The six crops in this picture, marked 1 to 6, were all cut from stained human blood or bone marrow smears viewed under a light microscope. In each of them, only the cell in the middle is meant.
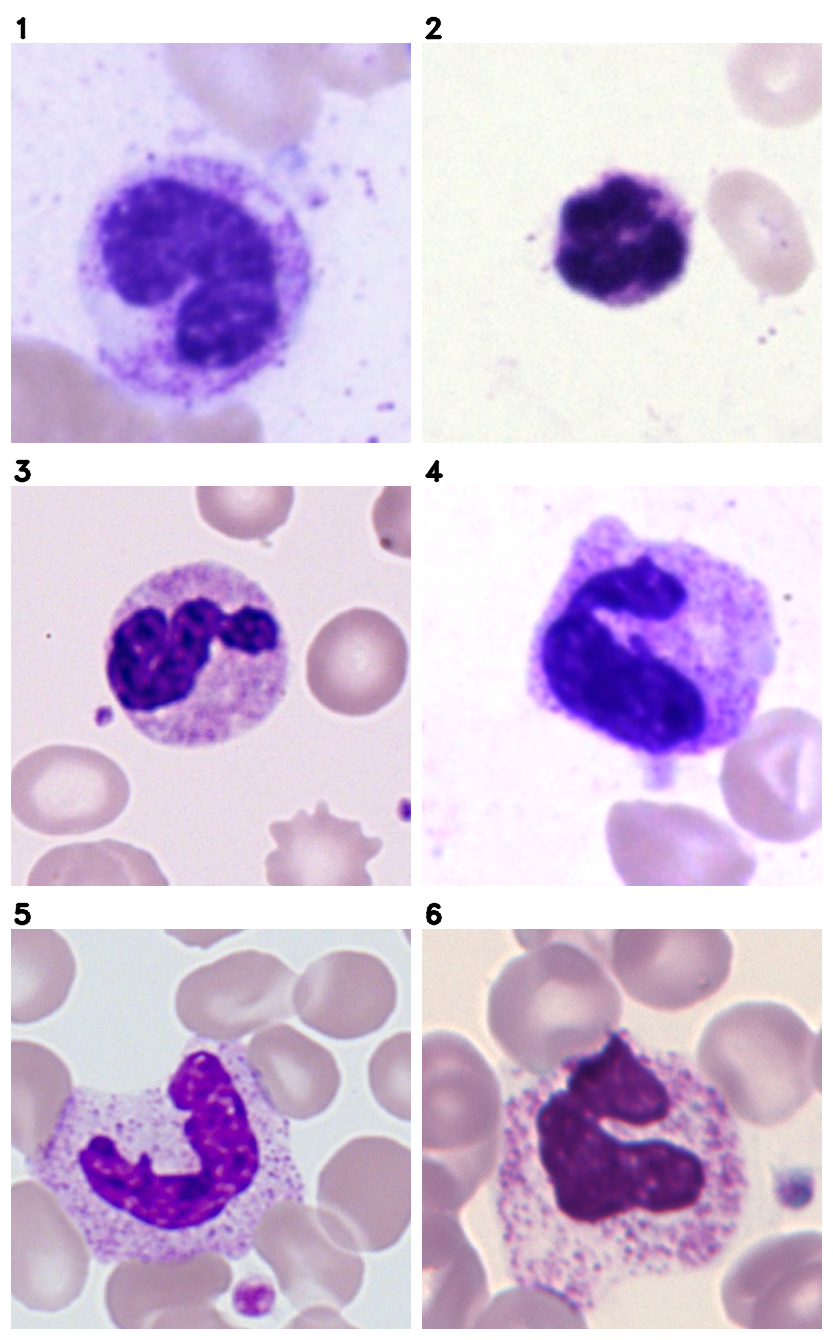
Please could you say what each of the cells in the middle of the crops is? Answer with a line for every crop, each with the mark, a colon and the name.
1: band neutrophil
2: segmented neutrophil
3: segmented neutrophil
4: segmented neutrophil
5: band neutrophil
6: segmented neutrophil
